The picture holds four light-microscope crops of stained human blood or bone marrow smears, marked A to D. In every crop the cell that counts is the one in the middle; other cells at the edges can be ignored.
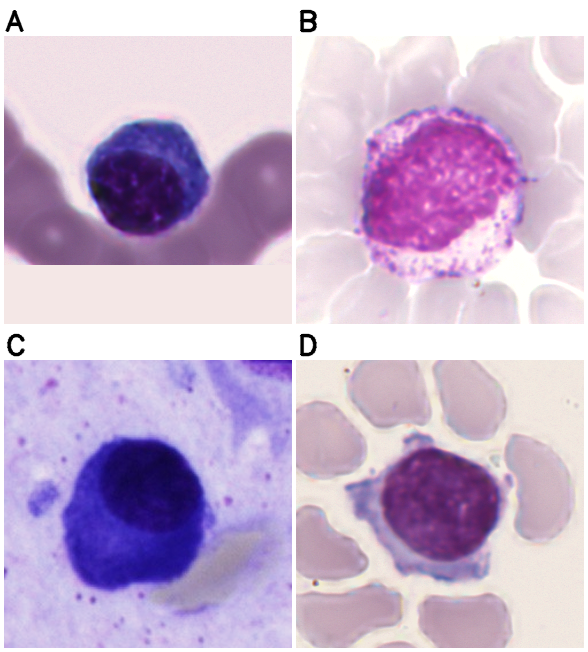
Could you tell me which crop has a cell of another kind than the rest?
B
